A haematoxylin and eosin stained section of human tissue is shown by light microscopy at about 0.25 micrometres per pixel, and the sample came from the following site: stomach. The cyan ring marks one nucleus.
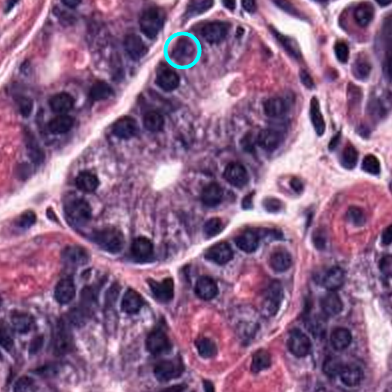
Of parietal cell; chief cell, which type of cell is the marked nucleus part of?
chief cell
